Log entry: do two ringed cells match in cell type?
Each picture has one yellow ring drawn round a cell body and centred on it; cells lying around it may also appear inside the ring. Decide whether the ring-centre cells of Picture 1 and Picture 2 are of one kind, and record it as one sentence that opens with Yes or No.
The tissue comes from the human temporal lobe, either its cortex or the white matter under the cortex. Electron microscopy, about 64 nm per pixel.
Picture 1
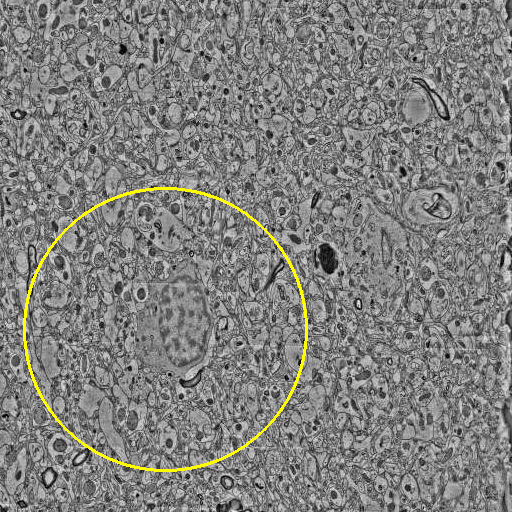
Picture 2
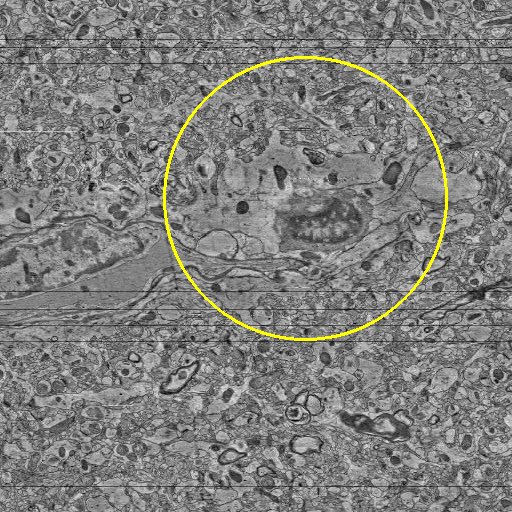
Yes, the cells at the ring centres of the two pictures belong to one kind.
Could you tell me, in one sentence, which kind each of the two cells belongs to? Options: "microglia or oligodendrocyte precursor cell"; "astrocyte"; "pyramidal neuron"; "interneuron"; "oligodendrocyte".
In both pictures the ring is centred on an oligodendrocyte.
